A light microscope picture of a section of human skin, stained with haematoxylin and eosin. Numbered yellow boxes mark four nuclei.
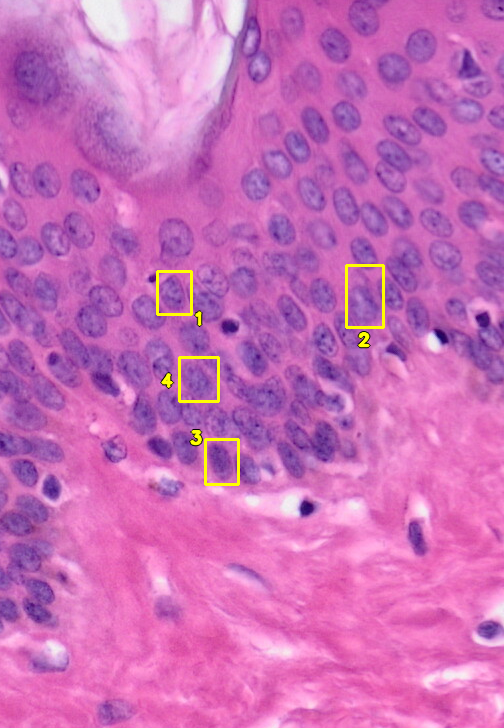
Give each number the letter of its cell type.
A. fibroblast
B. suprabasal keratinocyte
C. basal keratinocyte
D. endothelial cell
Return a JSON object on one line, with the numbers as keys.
{"1": "B", "2": "B", "3": "C", "4": "B"}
